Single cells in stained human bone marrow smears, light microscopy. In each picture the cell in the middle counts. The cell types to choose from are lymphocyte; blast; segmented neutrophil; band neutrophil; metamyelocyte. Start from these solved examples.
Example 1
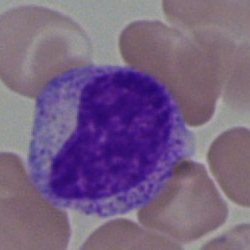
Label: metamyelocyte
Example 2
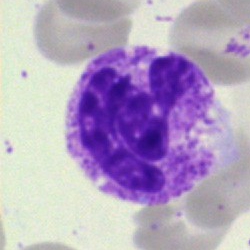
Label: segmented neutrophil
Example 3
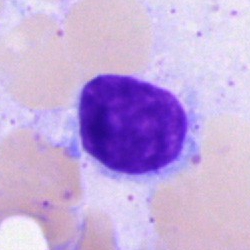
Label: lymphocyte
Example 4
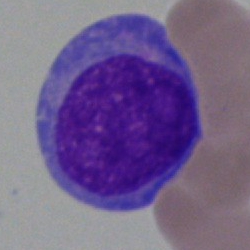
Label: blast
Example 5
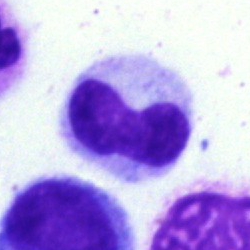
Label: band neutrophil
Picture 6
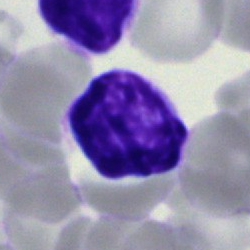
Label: lymphocyte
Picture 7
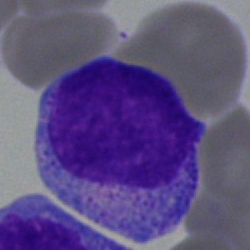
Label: blast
